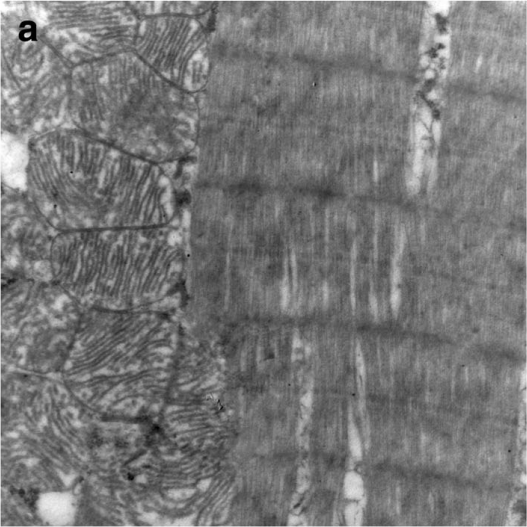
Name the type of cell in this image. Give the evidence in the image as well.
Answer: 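Cardiomyocyte. Myofibrils with regularly repeating sarcomeres crossed by dark Z-lines. A dense cluster of mitochondria with tightly packed cristae lies beside the myofibrils.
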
